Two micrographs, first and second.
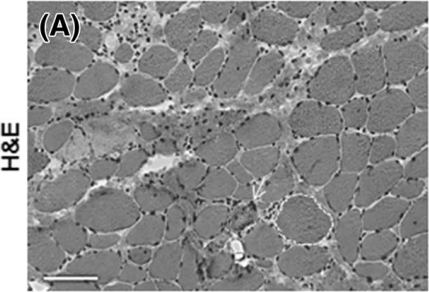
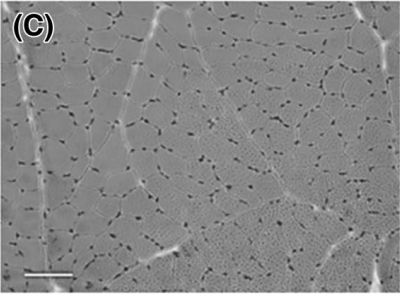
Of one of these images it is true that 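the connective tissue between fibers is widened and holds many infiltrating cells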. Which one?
the first image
